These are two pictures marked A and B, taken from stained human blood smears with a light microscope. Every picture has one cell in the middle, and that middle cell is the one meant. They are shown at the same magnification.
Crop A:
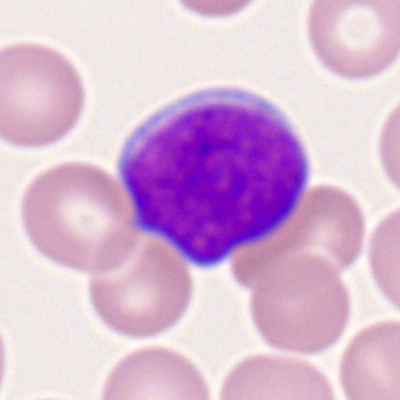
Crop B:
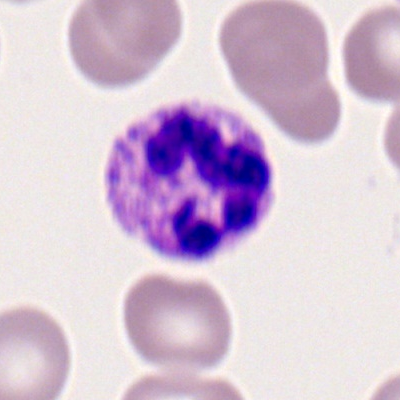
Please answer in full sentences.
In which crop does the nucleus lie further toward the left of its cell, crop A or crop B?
It is the nucleus in crop A that lies further toward the left of its cell.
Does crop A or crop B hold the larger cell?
The cell in crop A is larger, with about 2 times the area of the one in crop B.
